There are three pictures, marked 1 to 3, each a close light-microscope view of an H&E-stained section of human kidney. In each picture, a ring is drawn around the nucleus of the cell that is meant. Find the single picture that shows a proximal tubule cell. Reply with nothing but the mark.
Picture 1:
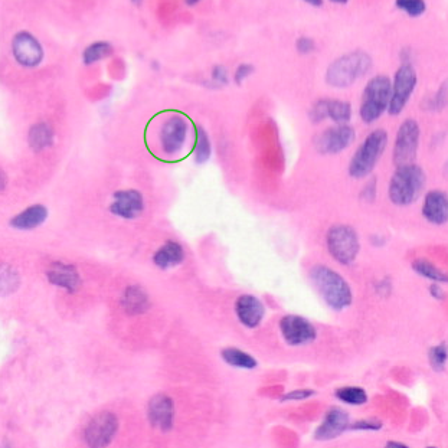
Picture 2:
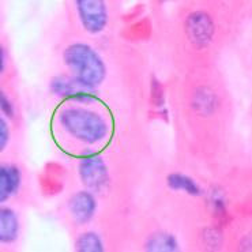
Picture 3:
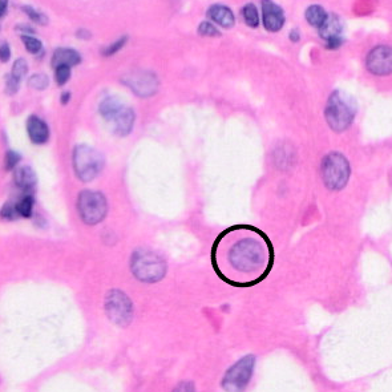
3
